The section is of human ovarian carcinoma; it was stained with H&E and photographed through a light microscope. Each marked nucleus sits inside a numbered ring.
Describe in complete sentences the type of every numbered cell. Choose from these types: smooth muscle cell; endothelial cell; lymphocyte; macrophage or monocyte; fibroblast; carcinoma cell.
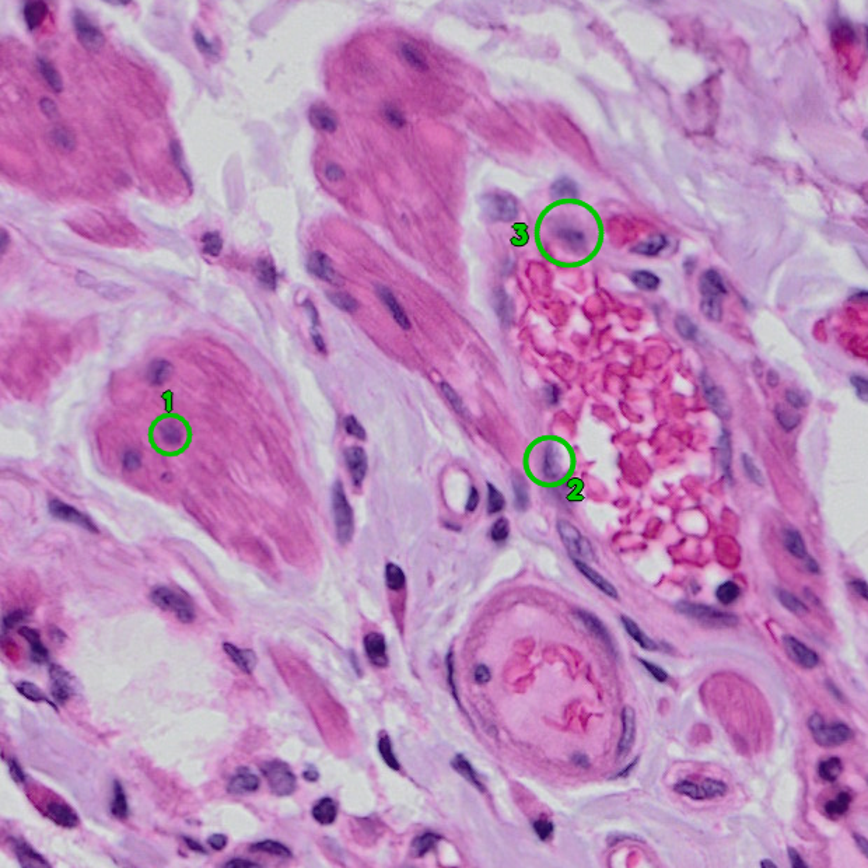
Cell 1 is a smooth muscle cell, cell 2 is an endothelial cell and cell 3 is an endothelial cell.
